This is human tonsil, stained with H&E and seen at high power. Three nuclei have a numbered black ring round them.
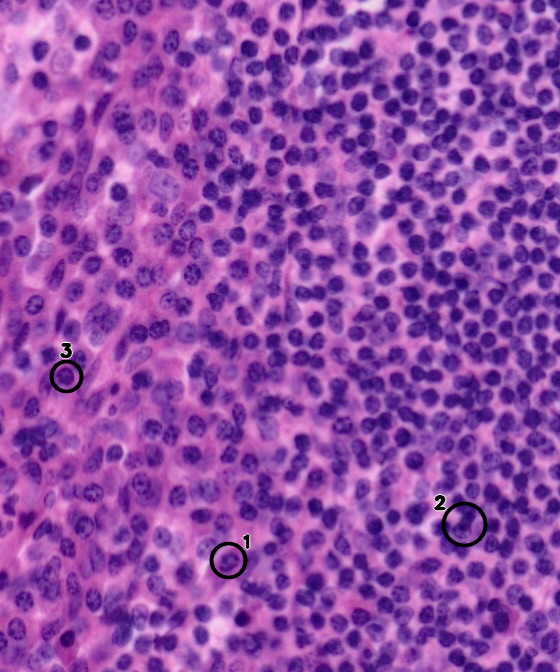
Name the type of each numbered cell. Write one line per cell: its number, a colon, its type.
1: plasma cell
2: small lymphocyte
3: plasma cell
